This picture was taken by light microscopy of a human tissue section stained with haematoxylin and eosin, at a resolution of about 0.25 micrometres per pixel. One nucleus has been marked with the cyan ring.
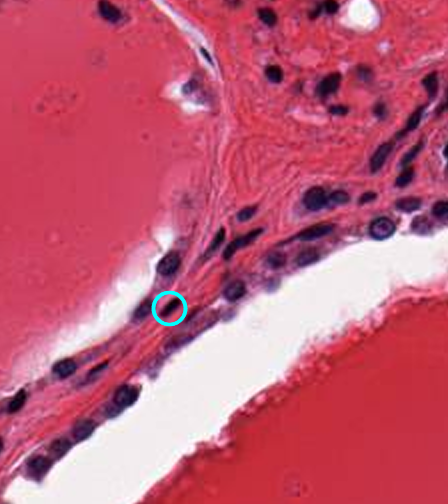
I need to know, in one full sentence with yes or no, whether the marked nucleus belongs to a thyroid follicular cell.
No, the marked nucleus is not from a thyroid follicular cell; a supporting cell is its source.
